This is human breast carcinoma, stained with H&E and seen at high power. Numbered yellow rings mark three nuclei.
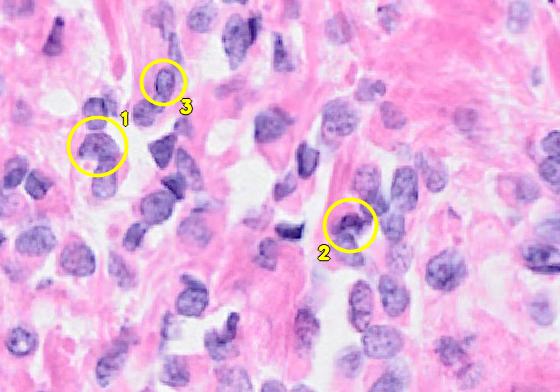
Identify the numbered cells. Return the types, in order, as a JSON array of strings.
["carcinoma cell", "carcinoma cell", "endothelial cell"]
